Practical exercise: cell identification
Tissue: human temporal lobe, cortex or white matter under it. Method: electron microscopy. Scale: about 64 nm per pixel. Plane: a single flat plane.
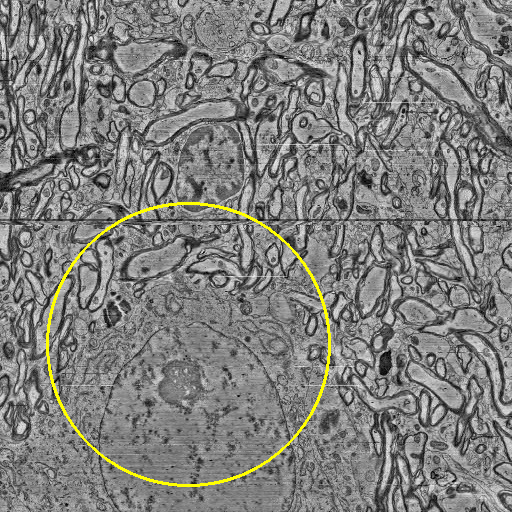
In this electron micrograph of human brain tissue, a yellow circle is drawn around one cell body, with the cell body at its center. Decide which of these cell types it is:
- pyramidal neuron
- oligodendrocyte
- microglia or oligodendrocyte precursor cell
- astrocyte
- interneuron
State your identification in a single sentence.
The ringed cell is a pyramidal neuron.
